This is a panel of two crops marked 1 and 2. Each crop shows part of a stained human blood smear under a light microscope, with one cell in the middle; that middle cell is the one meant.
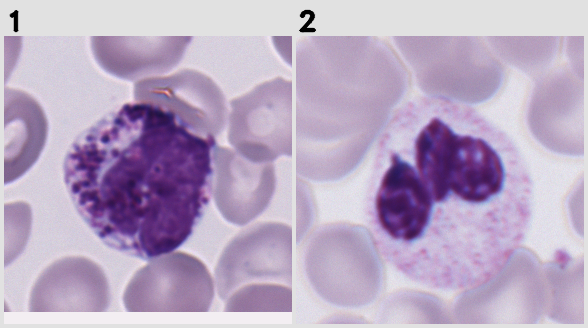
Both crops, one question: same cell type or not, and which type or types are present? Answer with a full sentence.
No, crop 1 features a basophil, and crop 2 features a segmented neutrophil.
